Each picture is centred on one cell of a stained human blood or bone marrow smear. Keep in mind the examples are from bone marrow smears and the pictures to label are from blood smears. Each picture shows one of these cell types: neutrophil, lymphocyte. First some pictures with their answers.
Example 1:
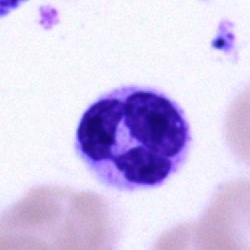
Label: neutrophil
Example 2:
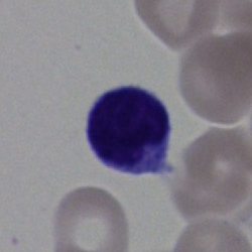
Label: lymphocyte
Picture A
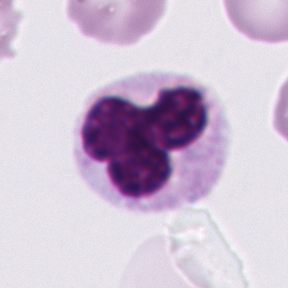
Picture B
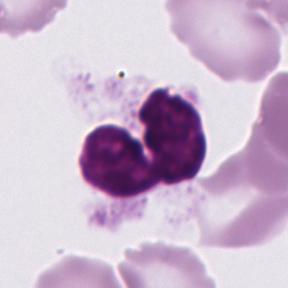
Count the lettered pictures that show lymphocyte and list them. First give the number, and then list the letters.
0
